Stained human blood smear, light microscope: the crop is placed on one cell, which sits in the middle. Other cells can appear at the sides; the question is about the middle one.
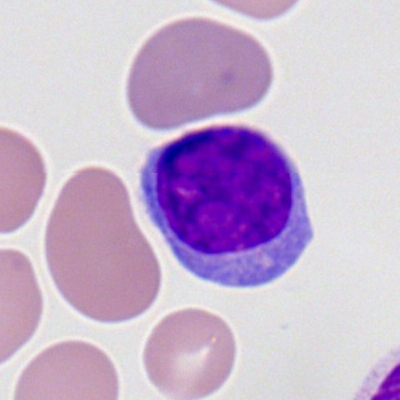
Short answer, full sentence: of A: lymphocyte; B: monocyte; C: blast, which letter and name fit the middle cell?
The one to choose is option A, as the cell in the middle is a lymphocyte.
